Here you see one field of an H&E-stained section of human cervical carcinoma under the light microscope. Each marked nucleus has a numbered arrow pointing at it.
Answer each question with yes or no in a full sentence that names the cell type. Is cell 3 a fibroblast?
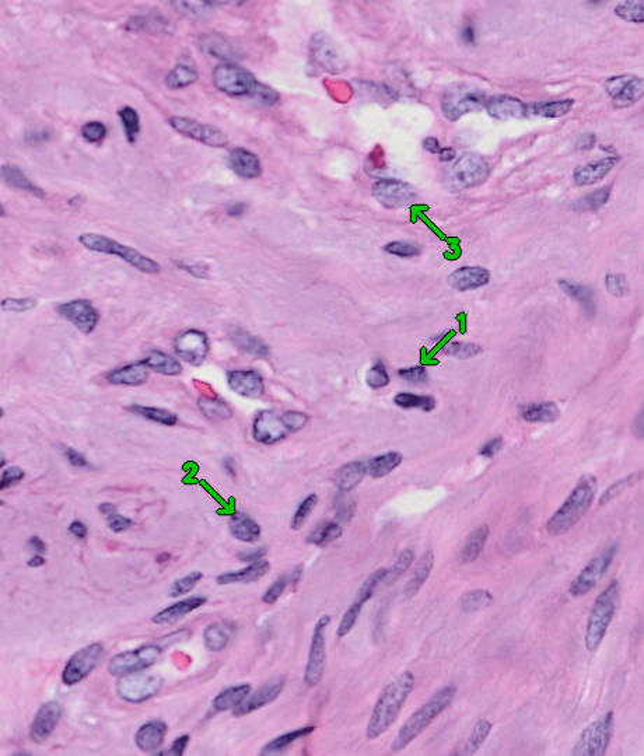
No, cell 3 does not represent a fibroblast; it represents an endothelial cell.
